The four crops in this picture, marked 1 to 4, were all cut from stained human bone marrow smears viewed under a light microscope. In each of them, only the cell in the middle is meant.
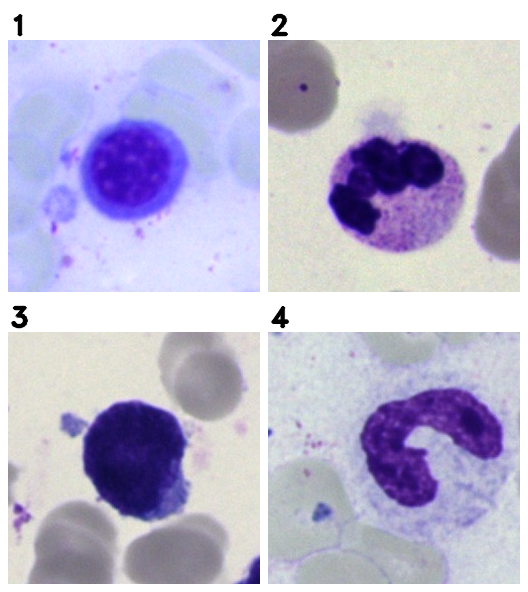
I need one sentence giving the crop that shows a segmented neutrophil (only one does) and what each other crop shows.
Centred in crop 2 is a segmented neutrophil, while crop 1 is an erythroblast, crop 3 is a blast and crop 4 is a band neutrophil.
